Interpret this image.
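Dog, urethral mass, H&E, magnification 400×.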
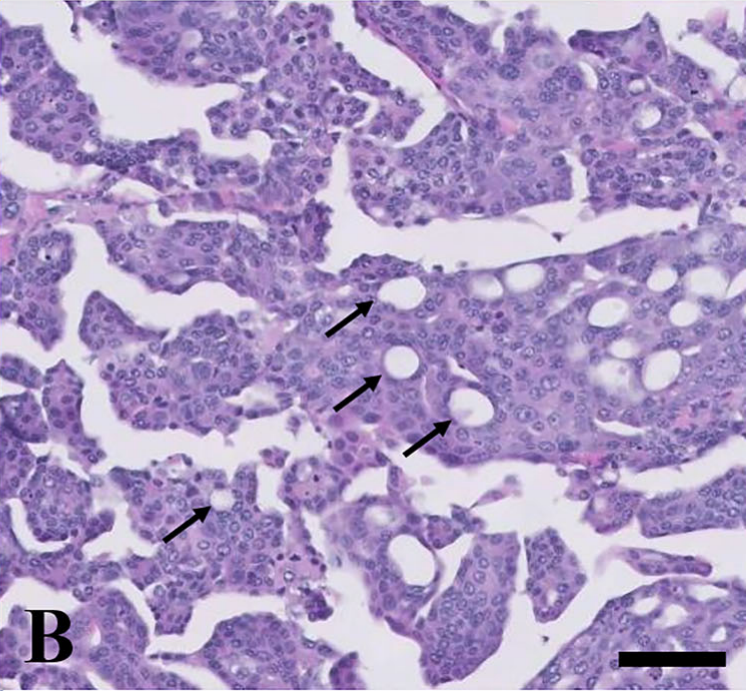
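This is a tumour of transitional cells, growing as dense, crowded sheets and interconnecting cords of neoplastic cells separated by clear clefts. Scattered through the sheets are round, clear spaces of various sizes that sit within swollen cells; these are large cytoplasmic vacuoles. There is no orderly layered lining here, only a packed, disorganised population of tumour cells.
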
